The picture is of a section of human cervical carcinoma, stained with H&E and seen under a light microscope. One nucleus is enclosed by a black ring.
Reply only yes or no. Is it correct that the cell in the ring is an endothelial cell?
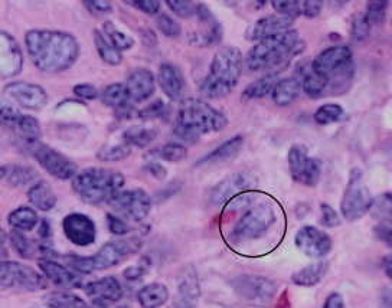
yes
